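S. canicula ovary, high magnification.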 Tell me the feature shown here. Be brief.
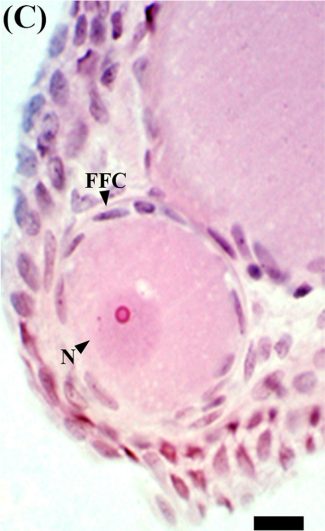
Primordial ovarian follicle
